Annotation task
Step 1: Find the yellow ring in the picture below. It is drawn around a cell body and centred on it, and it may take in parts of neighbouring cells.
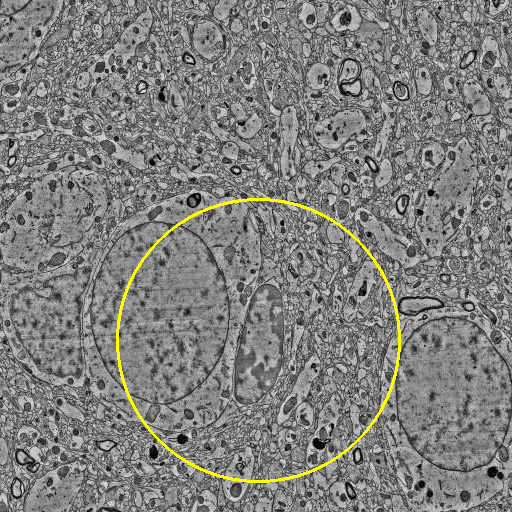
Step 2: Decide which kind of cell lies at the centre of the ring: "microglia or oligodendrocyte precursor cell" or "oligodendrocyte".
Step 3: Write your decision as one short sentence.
The kind of cell at the ring's centre is a microglial cell or oligodendrocyte precursor cell.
